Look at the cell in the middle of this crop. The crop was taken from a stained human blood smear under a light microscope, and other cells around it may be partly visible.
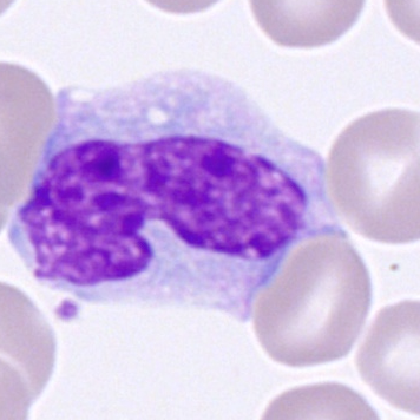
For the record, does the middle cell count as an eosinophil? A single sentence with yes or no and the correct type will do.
No, the central cell should be identified as a monocyte, not as an eosinophil.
